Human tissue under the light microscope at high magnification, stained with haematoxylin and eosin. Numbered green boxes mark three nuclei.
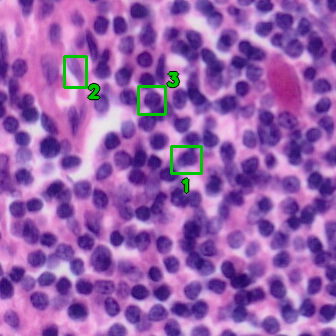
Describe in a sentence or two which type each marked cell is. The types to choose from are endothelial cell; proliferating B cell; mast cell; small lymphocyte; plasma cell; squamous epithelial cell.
Cells 1 and 3 are small lymphocytes. Cell 2 is an endothelial cell.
